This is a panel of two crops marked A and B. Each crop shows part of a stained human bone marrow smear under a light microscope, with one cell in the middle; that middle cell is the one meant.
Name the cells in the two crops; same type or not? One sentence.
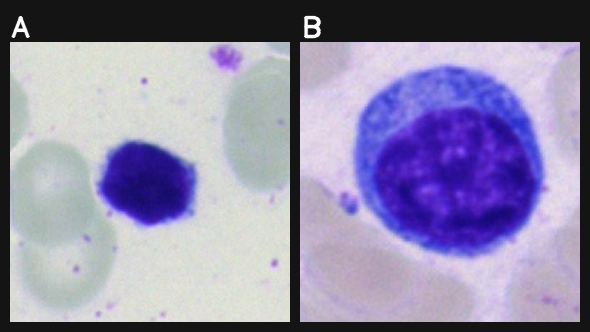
Yes, the cells under consideration in both crops are lymphocytes.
